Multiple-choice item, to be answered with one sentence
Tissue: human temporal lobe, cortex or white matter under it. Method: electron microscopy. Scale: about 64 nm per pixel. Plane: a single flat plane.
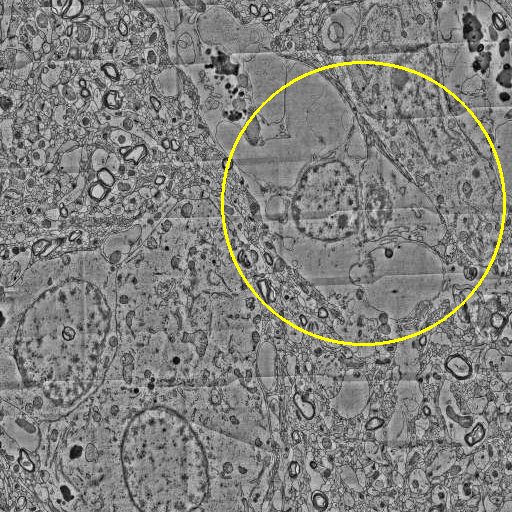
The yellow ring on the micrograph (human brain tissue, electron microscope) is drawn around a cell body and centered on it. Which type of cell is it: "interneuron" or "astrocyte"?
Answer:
The ring is centered on an astrocyte.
